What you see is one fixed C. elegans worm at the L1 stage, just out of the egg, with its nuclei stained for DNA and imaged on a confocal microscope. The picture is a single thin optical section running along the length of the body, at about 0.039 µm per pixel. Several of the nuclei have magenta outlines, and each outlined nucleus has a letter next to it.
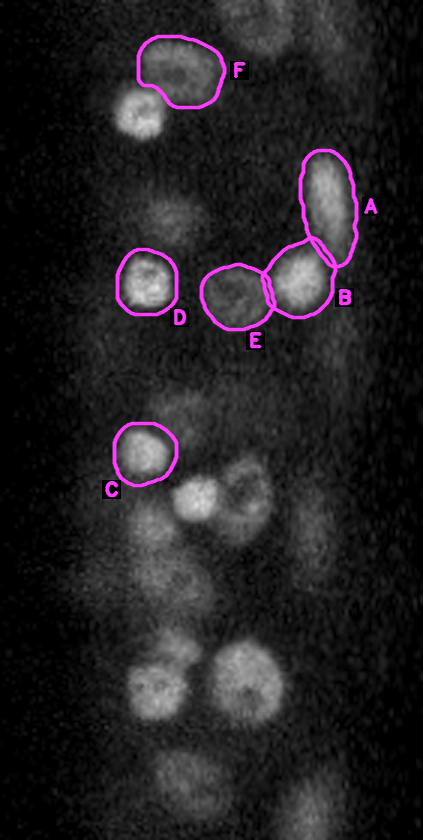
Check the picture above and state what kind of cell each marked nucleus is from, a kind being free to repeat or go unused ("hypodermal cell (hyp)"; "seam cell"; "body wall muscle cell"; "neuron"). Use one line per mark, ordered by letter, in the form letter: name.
A: body wall muscle cell
B: neuron
C: body wall muscle cell
D: body wall muscle cell
E: hypodermal cell (hyp)
F: seam cell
